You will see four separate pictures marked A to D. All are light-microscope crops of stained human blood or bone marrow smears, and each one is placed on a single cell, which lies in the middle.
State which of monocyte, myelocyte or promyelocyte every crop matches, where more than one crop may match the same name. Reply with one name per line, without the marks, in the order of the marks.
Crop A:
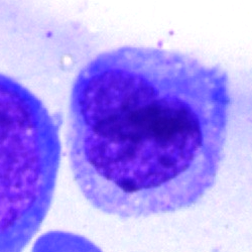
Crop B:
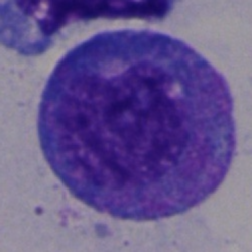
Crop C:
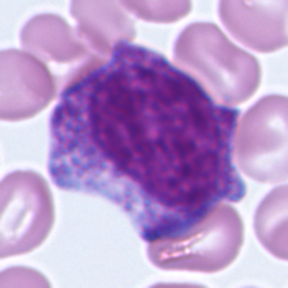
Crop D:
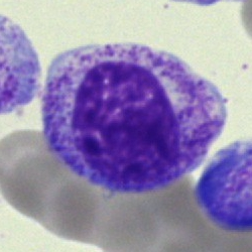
monocyte
promyelocyte
promyelocyte
myelocyte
